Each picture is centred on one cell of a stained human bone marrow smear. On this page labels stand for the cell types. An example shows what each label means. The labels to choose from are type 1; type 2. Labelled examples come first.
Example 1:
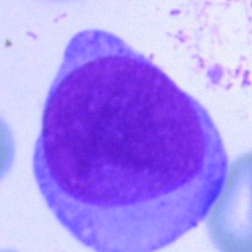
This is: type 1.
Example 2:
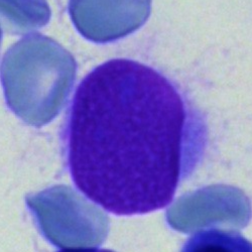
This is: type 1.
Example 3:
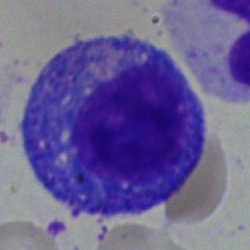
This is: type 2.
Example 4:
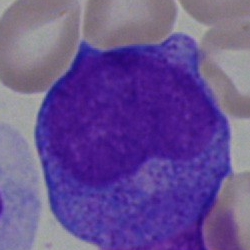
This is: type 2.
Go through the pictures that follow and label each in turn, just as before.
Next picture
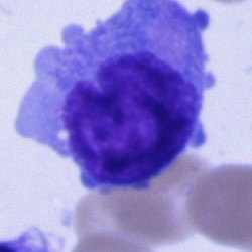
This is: type 1.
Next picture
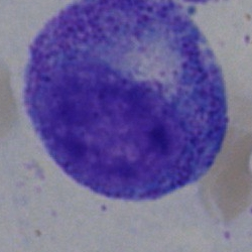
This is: type 2.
